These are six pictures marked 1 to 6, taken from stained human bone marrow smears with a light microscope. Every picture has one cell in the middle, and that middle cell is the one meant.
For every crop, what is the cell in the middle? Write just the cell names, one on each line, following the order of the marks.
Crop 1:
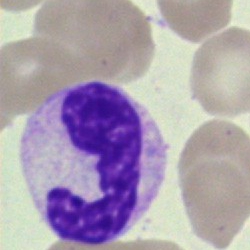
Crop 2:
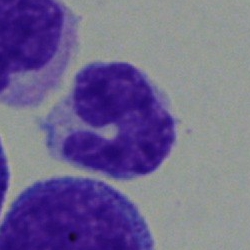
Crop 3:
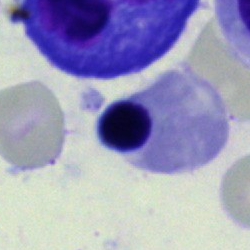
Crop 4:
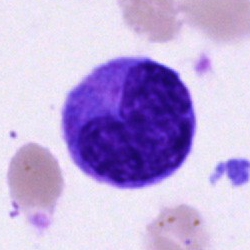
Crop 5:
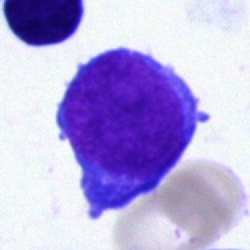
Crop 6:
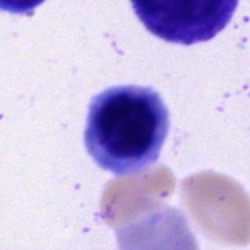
band neutrophil
band neutrophil
erythroblast
monocyte
blast
erythroblast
